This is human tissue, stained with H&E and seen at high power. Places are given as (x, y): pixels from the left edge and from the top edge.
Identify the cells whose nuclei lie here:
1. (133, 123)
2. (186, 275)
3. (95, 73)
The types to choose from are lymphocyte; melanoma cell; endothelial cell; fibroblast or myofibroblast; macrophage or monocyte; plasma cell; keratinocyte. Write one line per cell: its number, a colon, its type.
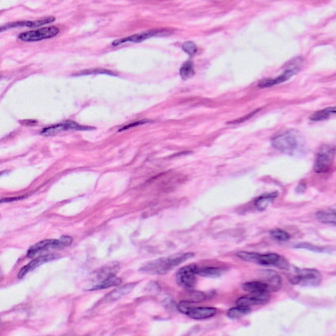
1: fibroblast or myofibroblast
2: endothelial cell
3: fibroblast or myofibroblast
